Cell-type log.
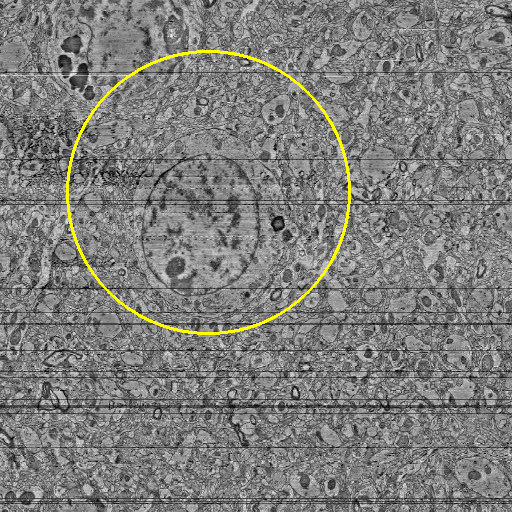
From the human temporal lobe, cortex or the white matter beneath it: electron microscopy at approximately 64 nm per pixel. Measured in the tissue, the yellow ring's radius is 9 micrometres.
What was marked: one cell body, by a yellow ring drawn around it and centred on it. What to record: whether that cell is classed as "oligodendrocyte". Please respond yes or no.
No, the cell belongs to another class.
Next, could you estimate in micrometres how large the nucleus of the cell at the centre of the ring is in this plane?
The nucleus is approximately 9 micrometers long by 8 micrometers wide in this plane.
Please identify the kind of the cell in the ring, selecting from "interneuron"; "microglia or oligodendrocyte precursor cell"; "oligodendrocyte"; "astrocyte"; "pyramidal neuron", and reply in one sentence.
Instead, the ring in this picture marks a pyramidal neuron.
